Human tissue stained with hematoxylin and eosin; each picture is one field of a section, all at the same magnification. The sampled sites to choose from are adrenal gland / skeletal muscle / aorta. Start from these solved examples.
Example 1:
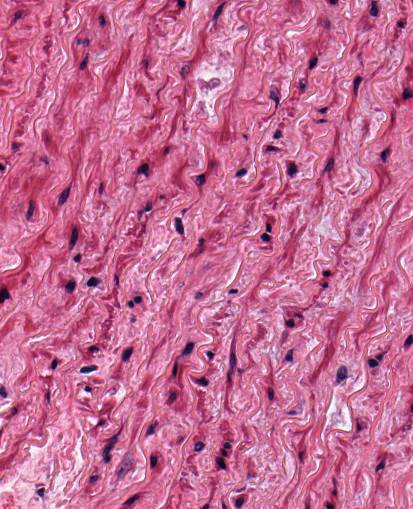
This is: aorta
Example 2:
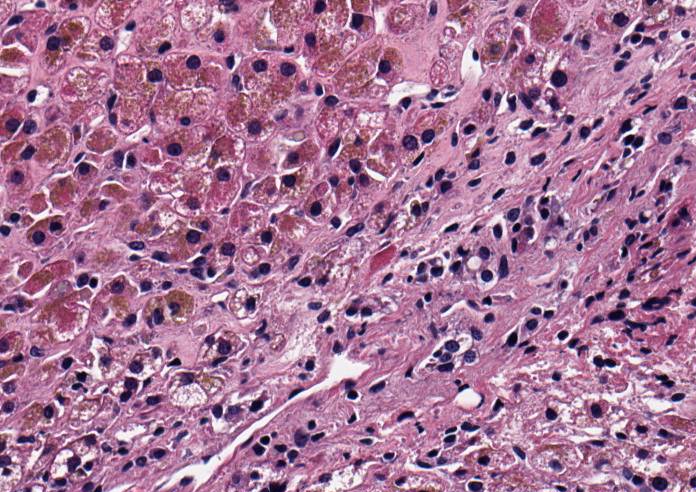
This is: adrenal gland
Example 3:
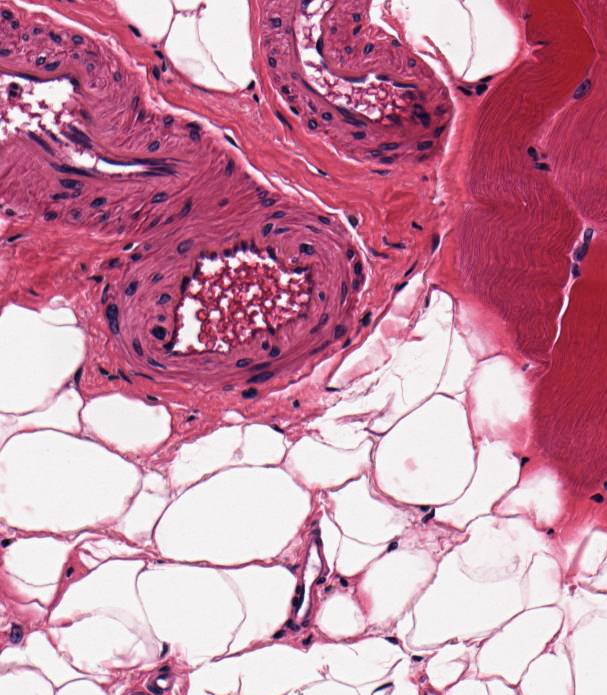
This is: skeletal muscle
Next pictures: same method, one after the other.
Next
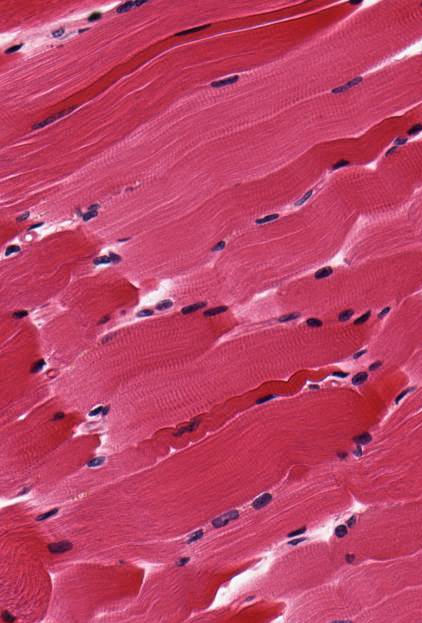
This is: skeletal muscle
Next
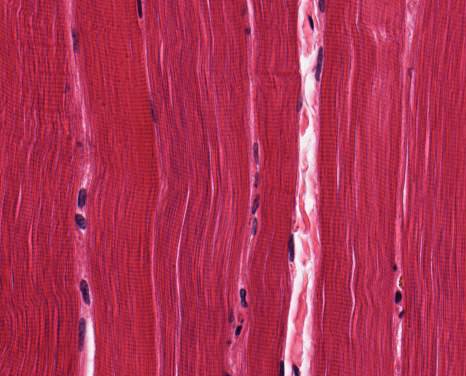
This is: skeletal muscle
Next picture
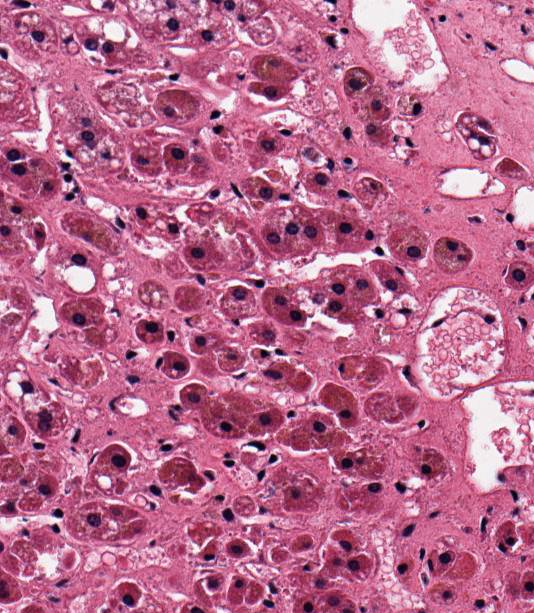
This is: adrenal gland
